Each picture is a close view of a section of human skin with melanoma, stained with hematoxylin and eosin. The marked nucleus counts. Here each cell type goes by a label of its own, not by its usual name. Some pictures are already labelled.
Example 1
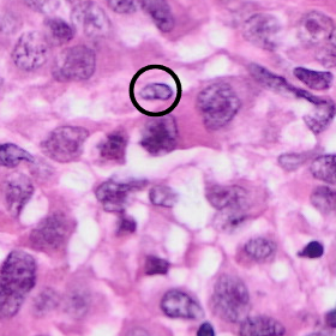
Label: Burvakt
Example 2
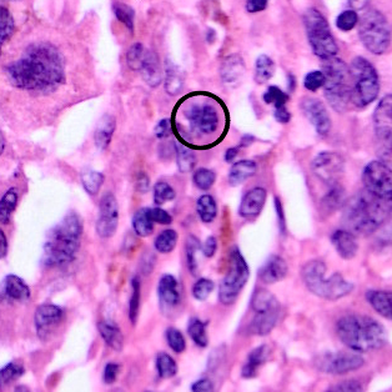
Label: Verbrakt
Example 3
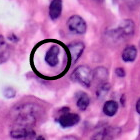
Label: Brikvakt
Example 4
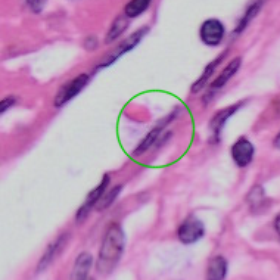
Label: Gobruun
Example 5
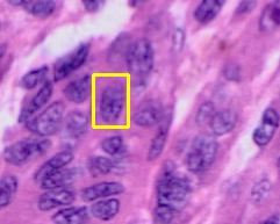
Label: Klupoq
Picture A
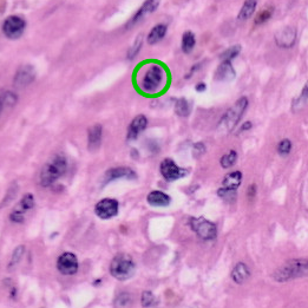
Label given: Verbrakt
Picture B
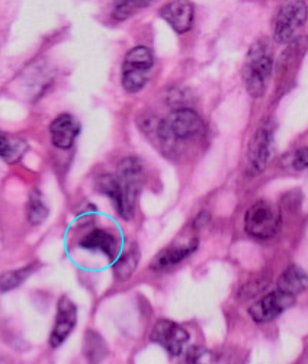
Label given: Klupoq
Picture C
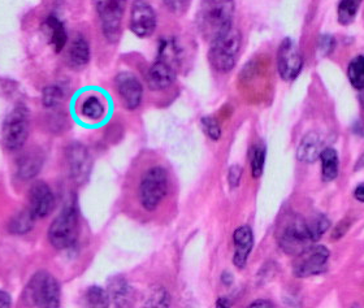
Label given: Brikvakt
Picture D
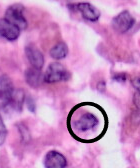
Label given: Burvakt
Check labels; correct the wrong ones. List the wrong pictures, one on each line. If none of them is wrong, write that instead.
Every label is right.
